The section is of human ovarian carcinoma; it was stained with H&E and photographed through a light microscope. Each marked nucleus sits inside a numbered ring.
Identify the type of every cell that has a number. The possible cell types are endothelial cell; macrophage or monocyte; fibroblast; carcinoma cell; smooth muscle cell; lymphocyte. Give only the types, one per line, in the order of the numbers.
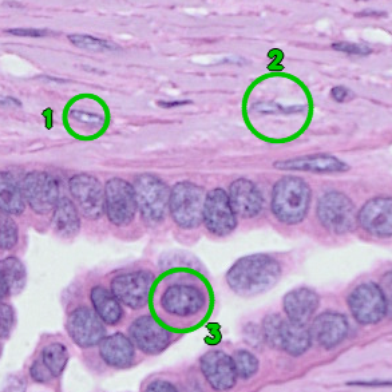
fibroblast
fibroblast
carcinoma cell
